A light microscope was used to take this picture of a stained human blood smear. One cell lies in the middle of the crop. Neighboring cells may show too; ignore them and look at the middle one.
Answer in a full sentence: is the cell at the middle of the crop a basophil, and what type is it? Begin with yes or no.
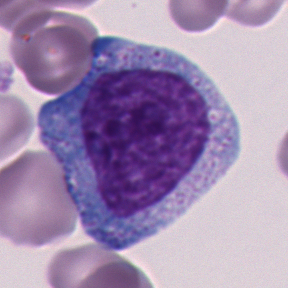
No, what lies at the heart of the crop is a promyelocyte, not a basophil.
